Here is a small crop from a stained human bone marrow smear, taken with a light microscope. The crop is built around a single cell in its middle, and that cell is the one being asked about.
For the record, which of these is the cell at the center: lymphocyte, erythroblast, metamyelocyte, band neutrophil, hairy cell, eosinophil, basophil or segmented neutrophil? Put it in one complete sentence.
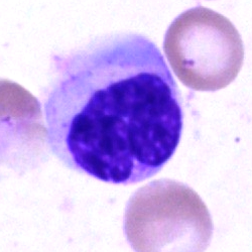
In the middle of this smear crop, the cell is a metamyelocyte.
